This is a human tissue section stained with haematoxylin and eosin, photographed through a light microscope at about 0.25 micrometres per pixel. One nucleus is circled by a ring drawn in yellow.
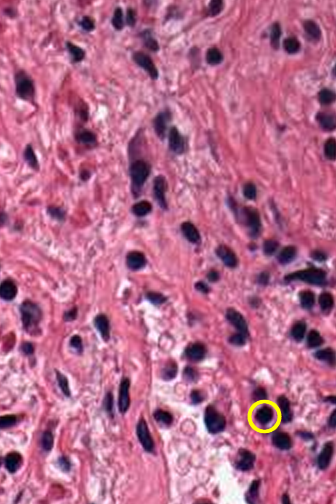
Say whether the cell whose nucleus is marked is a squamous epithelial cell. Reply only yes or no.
no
